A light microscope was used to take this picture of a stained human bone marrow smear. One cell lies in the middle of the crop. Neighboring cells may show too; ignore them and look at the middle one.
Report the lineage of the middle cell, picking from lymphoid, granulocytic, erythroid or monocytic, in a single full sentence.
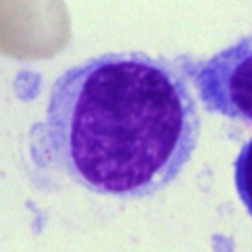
In terms of lineage, the cell in the middle is lymphoid.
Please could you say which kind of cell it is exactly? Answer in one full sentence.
In the center of this field lies a hairy cell.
